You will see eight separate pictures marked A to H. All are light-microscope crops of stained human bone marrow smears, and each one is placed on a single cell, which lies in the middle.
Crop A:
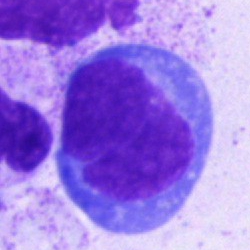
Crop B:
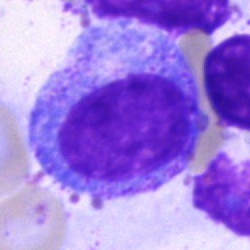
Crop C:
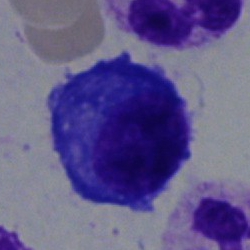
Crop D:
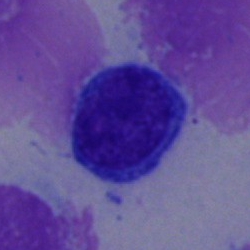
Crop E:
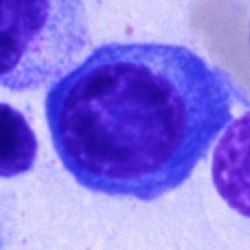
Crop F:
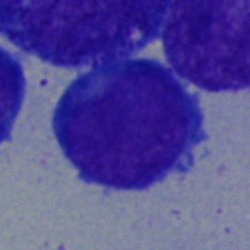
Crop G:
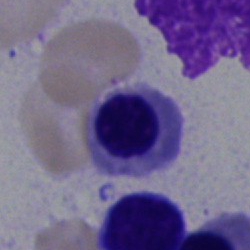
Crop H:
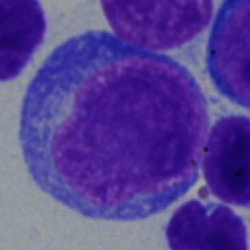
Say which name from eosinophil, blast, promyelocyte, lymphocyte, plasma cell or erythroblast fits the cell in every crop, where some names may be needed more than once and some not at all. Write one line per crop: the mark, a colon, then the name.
A: blast
B: promyelocyte
C: plasma cell
D: lymphocyte
E: plasma cell
F: blast
G: erythroblast
H: blast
